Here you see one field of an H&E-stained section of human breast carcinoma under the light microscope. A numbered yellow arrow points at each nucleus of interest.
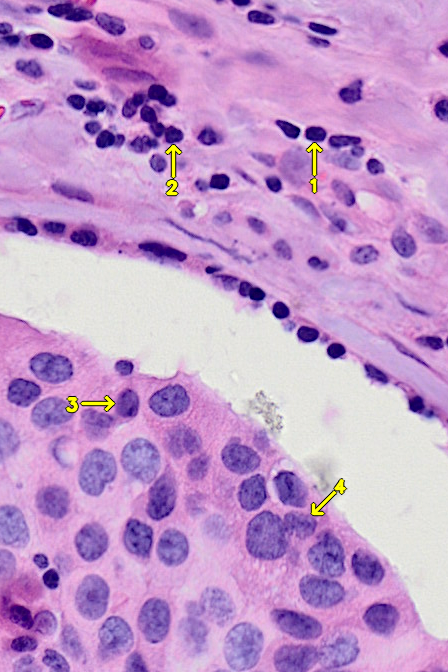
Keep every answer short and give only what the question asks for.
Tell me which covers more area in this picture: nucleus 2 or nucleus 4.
4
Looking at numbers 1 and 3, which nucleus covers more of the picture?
3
